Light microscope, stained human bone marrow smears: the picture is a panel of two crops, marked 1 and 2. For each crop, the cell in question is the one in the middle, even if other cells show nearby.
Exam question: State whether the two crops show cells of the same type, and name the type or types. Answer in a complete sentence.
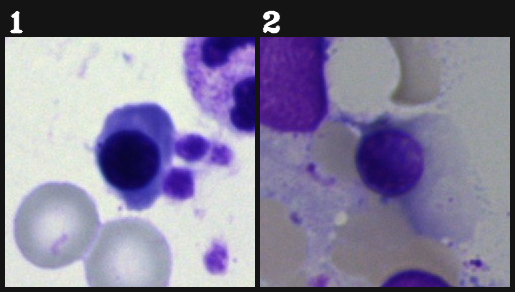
Yes, in the two crops, erythroblasts are the cells at the centre.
